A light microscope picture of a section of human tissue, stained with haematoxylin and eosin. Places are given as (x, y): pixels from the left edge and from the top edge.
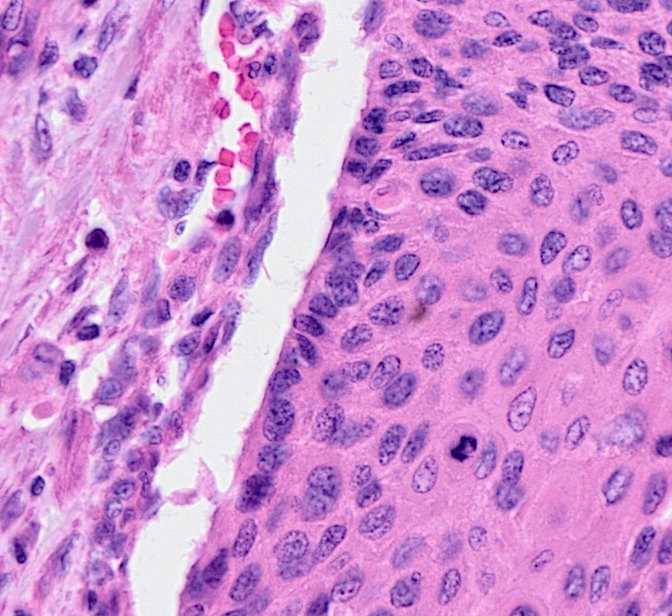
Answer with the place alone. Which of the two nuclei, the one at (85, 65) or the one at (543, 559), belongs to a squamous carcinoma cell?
(543, 559)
